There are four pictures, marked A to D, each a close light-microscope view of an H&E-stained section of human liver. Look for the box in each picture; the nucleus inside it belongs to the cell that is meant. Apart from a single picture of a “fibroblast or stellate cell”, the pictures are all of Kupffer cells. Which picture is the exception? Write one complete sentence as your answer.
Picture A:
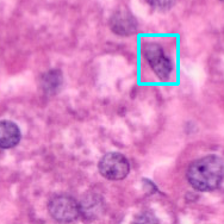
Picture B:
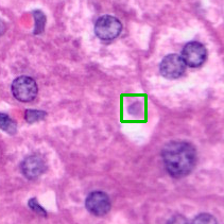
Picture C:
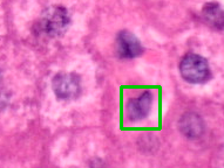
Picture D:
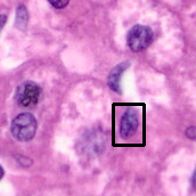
The picture with the “fibroblast or stellate cell” is D.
